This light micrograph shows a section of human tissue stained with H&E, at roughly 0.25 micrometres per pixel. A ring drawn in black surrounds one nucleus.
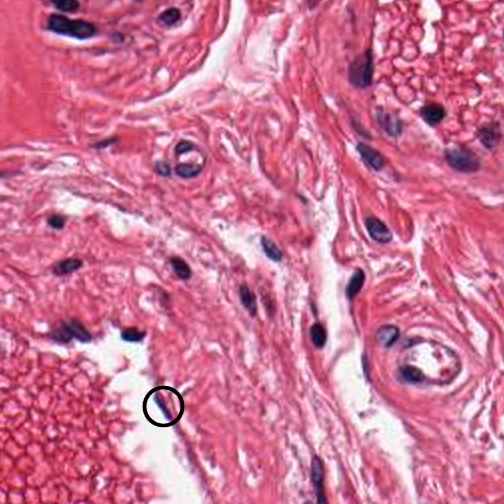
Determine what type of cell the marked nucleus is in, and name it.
endothelial cell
